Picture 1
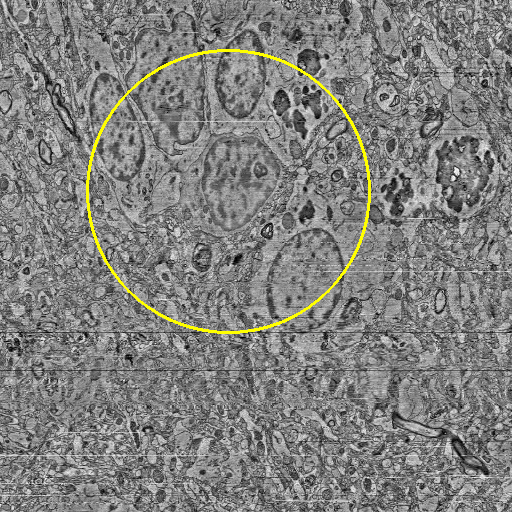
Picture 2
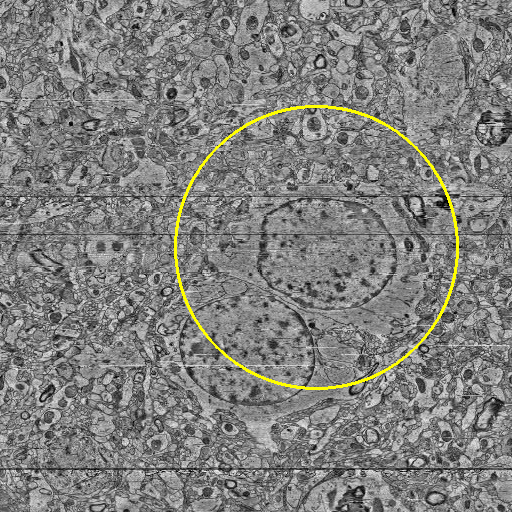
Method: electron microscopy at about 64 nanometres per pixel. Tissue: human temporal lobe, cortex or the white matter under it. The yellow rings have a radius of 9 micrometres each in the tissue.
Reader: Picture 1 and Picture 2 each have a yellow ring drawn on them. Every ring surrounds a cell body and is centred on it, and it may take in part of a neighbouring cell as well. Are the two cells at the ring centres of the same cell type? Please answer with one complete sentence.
No, the cells are of two cell types.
